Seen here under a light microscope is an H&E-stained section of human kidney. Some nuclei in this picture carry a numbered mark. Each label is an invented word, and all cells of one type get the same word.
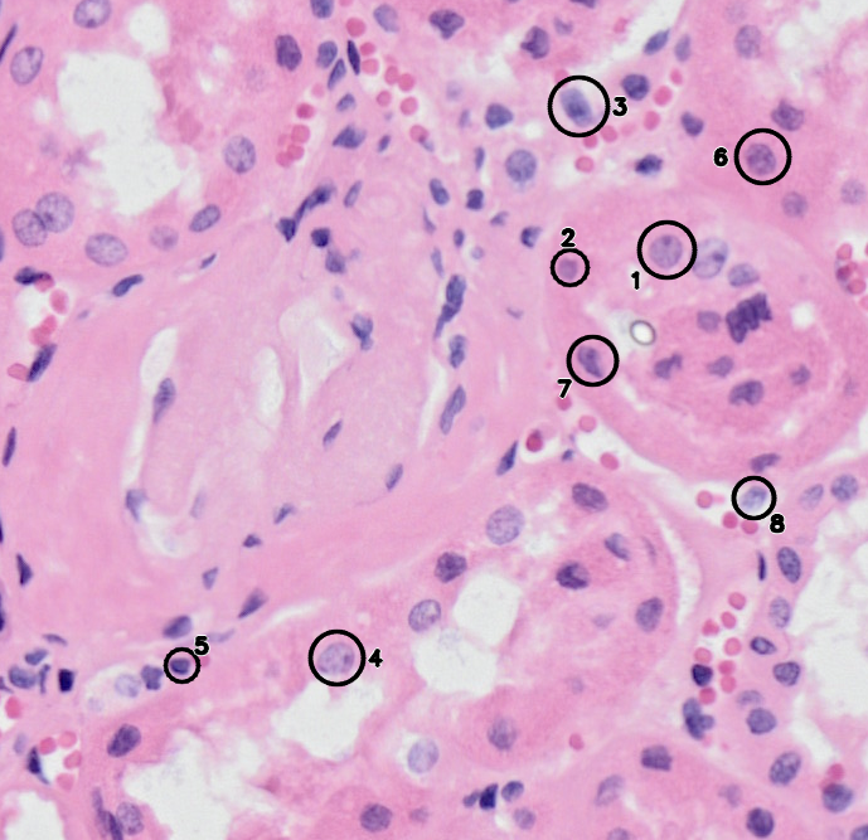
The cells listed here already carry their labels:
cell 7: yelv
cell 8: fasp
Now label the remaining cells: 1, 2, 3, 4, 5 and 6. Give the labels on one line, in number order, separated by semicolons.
yelv; yelv; fasp; yelv; fasp; yelv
